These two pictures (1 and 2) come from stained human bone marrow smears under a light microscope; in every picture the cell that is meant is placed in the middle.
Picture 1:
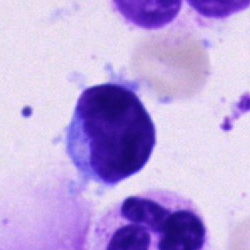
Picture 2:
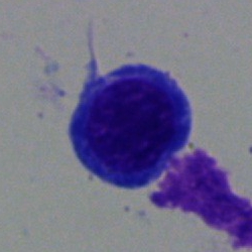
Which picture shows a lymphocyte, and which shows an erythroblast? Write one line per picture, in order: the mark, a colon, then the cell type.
1: lymphocyte
2: erythroblast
